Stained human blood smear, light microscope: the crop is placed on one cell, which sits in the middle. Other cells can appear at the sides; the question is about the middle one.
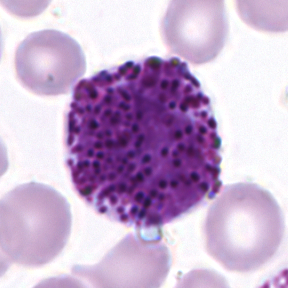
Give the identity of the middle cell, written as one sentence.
Seen at the centre of the crop is a basophil.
